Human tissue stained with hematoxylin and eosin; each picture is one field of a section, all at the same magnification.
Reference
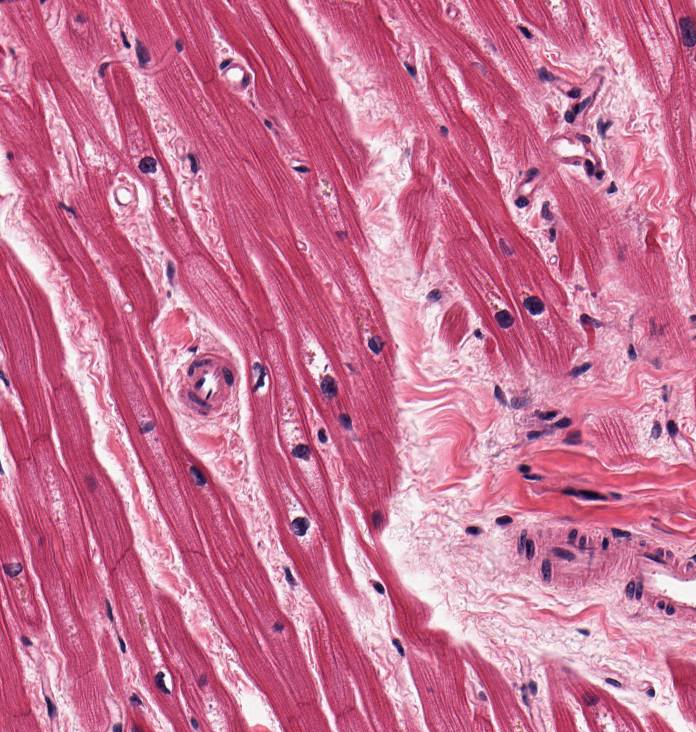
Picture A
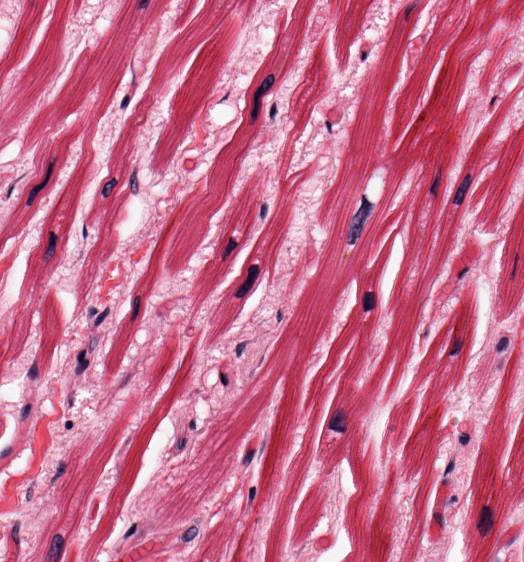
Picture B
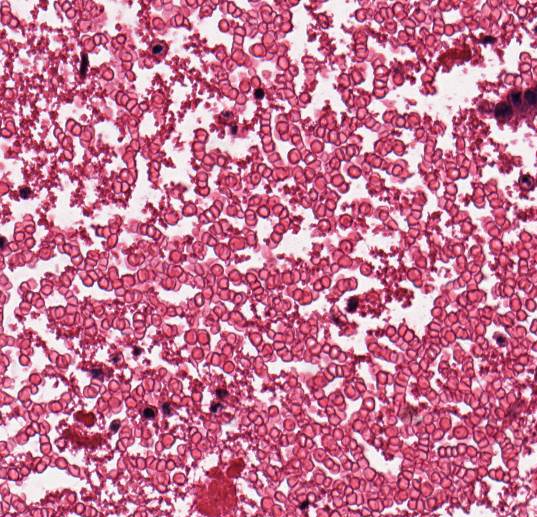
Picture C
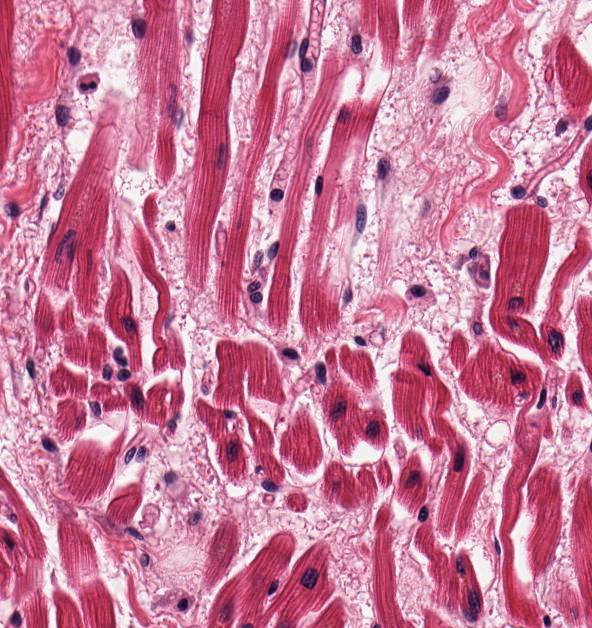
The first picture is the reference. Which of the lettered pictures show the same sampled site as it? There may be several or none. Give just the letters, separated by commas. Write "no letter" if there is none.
A, C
